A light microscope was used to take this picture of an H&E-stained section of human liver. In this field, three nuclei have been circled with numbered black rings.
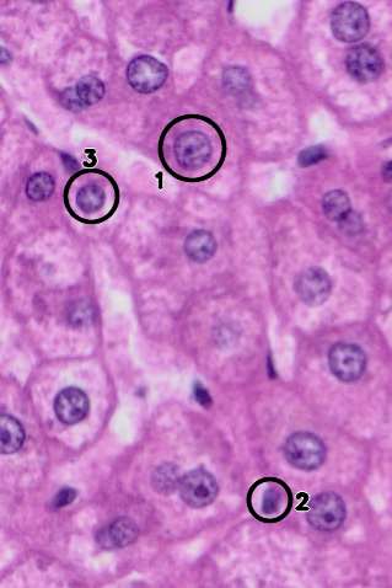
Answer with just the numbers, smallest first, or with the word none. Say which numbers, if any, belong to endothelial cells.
2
